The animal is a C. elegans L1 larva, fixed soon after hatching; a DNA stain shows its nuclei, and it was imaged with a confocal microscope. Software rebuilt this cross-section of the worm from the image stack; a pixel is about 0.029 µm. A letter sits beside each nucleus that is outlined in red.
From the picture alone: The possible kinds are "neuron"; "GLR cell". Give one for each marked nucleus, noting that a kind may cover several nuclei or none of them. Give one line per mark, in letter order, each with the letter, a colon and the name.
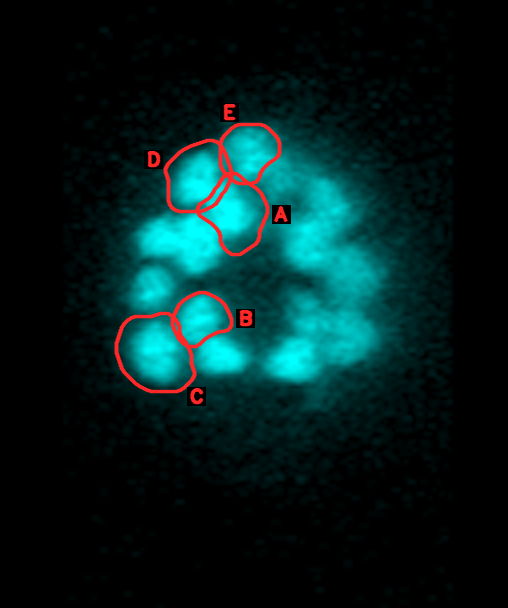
A: GLR cell
B: GLR cell
C: neuron
D: neuron
E: neuron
